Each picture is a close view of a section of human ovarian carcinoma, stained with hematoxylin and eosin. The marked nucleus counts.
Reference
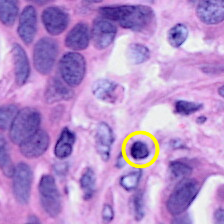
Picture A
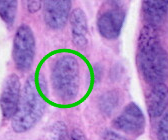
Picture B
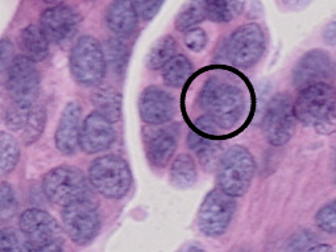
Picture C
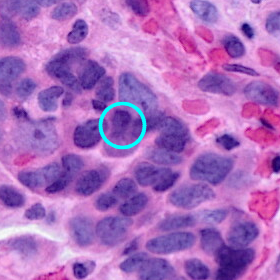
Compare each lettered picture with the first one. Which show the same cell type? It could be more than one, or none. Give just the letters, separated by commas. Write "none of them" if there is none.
none of them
